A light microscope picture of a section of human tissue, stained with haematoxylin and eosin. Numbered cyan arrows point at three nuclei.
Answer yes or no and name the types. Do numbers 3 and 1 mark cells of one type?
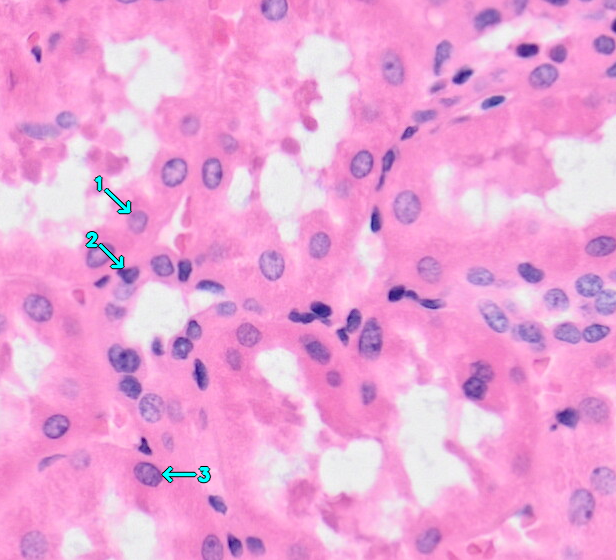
Yes, both are proximal tubule cells.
